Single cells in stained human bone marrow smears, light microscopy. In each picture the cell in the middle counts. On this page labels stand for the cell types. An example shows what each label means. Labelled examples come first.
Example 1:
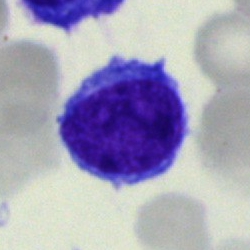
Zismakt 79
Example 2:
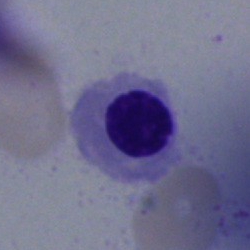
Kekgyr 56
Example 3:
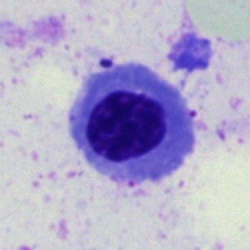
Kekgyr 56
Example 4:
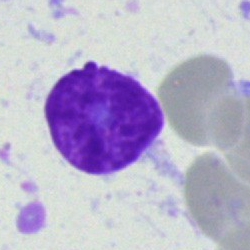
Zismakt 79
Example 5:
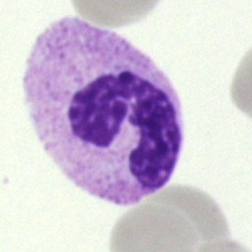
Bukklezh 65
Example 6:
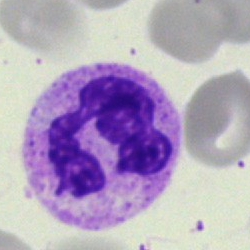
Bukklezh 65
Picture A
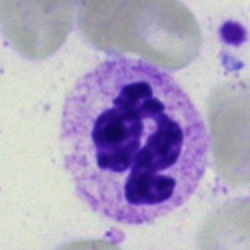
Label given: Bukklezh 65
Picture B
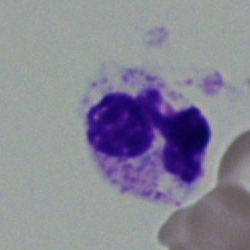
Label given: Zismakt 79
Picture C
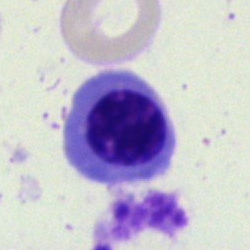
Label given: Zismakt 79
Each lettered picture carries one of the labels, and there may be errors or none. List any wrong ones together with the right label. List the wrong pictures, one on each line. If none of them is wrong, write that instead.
B: change Zismakt 79 to Bukklezh 65
C: change Zismakt 79 to Kekgyr 56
